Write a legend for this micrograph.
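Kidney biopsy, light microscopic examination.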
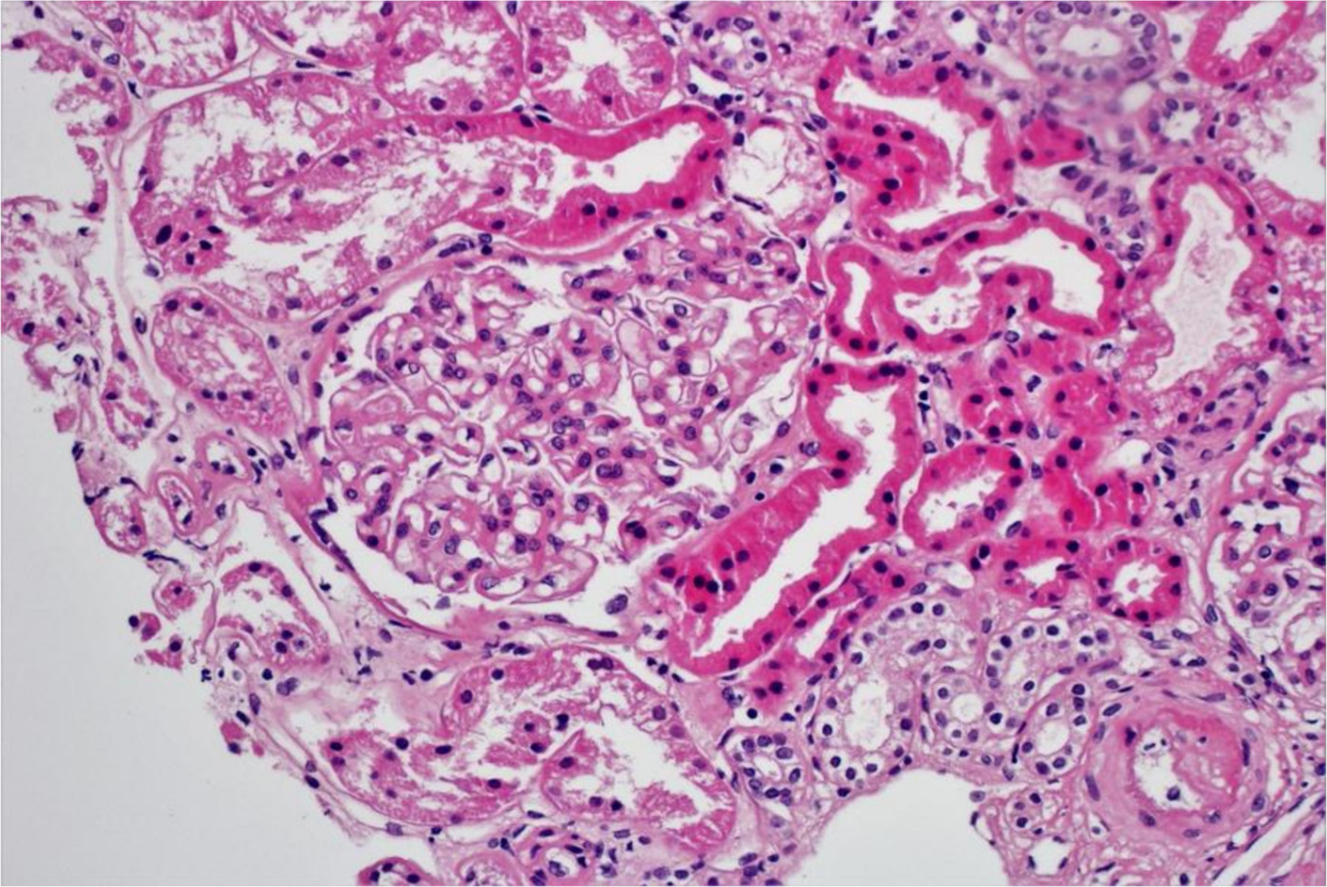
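This is renal cortex. A single glomerulus lies near the centre, surrounded by a thin Bowman's capsule, with open, thin-walled capillary loops and no crowding of cells. It is surrounded by tubules: some have pale pink, frayed, flocculent apical cytoplasm and lumina, while others are lined by a single row of cuboidal cells with intensely eosinophilic pink cytoplasm and dark round nuclei around open lumina. A small artery with a thickened pink wall lies at the lower right, and the interstitium between the tubules is scant.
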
